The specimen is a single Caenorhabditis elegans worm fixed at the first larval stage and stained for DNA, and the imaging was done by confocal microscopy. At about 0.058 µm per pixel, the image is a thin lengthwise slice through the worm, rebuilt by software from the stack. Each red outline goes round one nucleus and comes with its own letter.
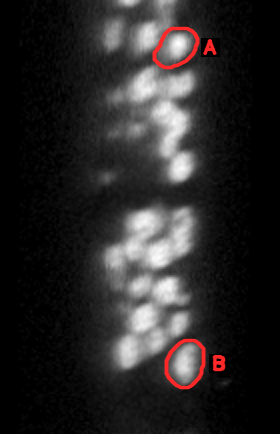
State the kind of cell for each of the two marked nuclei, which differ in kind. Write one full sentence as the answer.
B belongs to a body wall muscle cell, and A to a neuron.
